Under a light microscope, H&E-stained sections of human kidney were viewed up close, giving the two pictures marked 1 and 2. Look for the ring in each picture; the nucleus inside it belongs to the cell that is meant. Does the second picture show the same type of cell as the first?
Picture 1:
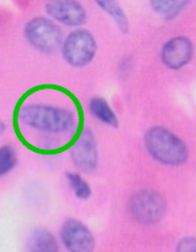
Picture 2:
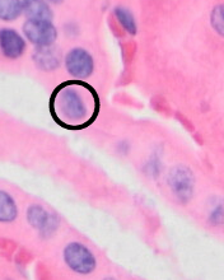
yes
